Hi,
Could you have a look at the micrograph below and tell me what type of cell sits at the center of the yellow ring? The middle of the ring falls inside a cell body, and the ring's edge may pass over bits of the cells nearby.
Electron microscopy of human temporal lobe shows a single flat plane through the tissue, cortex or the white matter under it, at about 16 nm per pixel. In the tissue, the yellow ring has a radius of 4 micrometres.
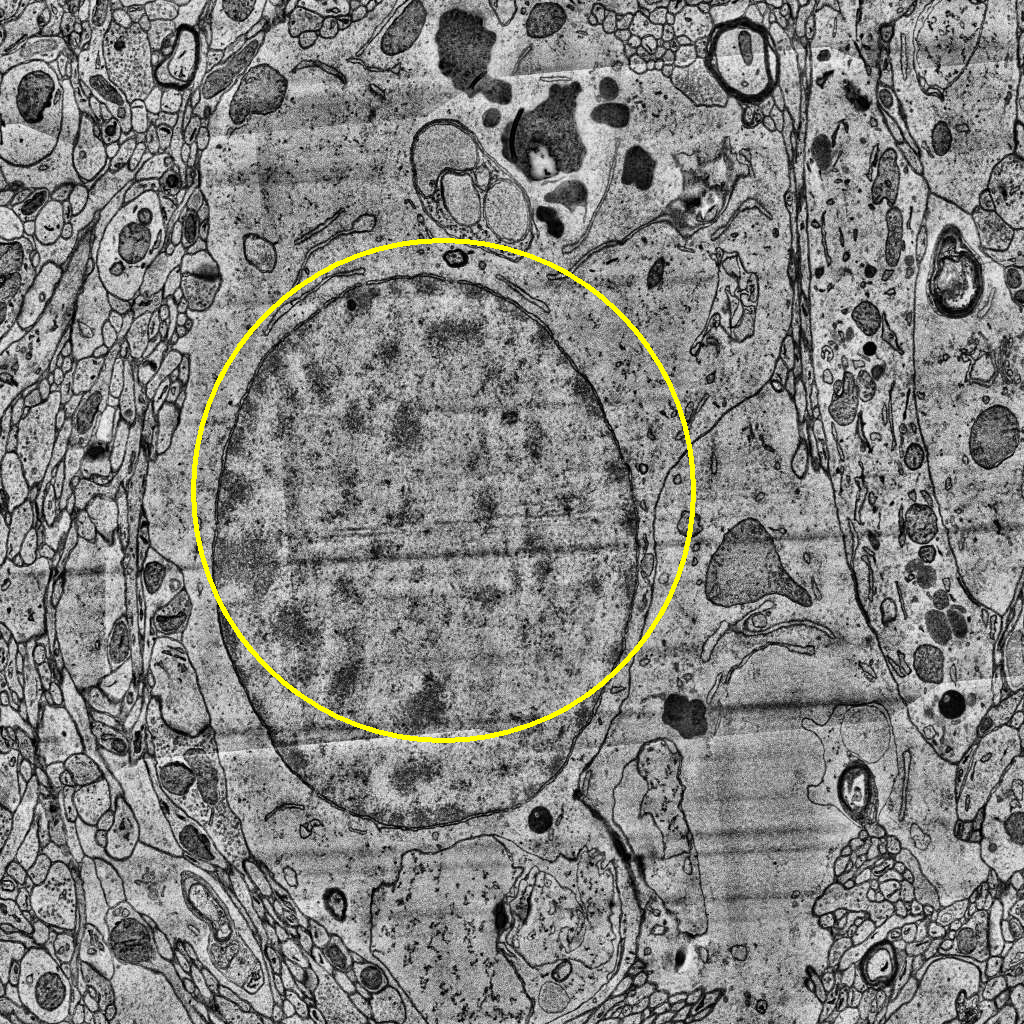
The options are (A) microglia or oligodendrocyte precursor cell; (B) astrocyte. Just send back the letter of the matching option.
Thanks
B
